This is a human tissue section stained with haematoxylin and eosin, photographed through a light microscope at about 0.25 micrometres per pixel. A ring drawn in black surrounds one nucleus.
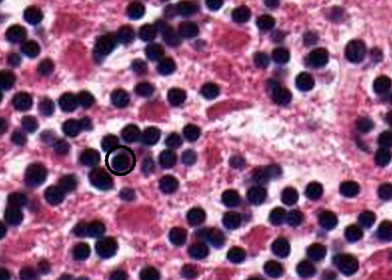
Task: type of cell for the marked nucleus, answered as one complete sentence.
The nucleus with the mark belongs to a cerebellar granule cell.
